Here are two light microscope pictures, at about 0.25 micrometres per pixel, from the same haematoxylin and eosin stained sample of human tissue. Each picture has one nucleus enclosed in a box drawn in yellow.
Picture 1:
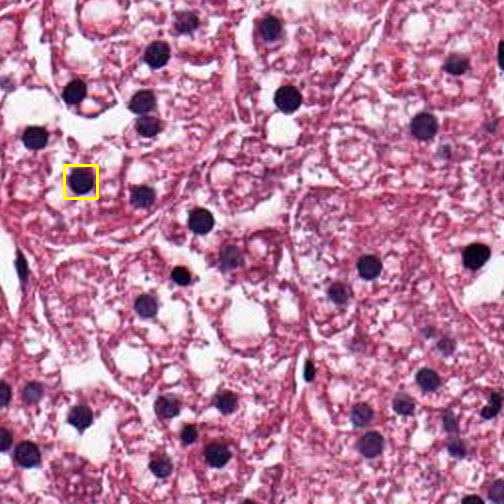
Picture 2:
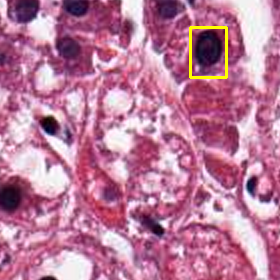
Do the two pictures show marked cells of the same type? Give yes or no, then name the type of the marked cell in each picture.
Yes, both are adrenal cortical cells.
